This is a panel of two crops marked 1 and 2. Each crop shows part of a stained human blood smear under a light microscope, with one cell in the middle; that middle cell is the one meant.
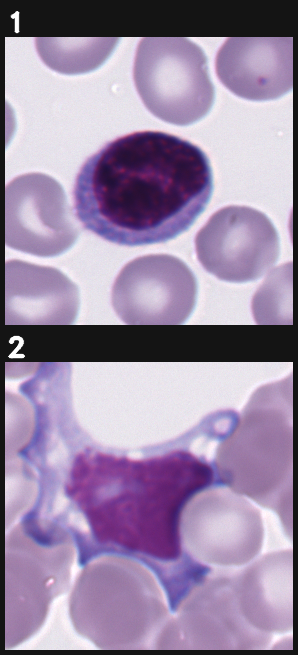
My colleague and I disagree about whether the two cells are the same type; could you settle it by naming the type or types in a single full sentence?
Yes, both crops show lymphocytes, one in each.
